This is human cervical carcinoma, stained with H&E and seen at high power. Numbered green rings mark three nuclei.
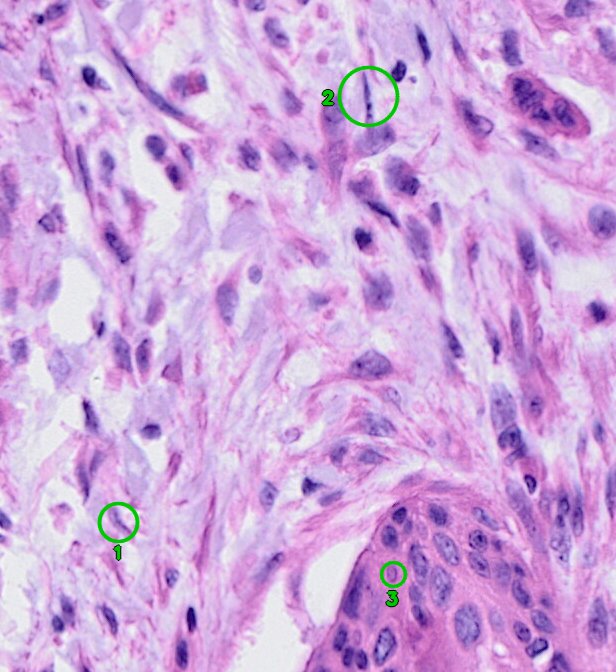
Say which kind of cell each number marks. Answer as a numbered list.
1. fibroblast
2. fibroblast
3. squamous carcinoma cell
